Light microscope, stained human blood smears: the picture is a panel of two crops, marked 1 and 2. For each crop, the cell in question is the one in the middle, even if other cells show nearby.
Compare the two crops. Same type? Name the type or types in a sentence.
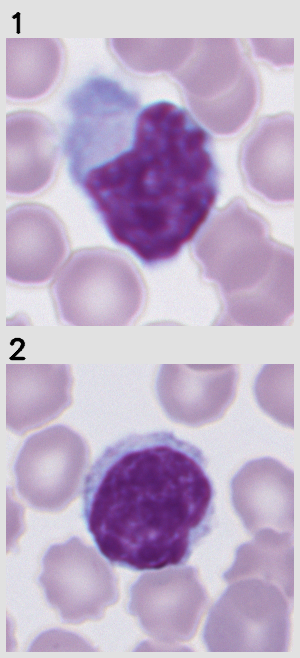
Yes, the cells that both crops show at the centre are typical lymphocytes.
